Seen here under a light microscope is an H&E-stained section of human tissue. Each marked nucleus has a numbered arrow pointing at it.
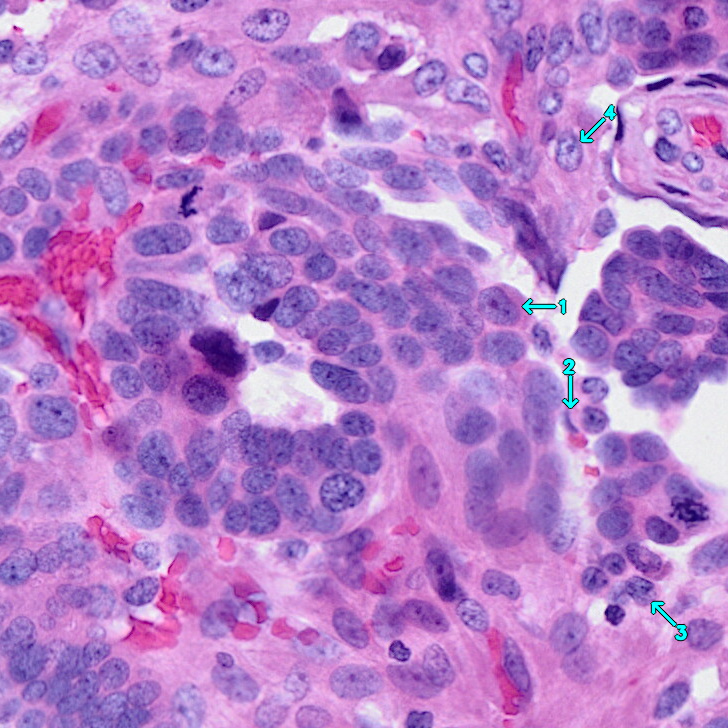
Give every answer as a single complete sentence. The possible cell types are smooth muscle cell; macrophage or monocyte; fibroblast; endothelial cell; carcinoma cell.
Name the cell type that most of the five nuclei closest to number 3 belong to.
Around number 3, most of the five nearest nuclei are those of macrophages or monocytes.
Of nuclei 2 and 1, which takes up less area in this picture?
Nucleus 2 covers less area, with nucleus 1 about 4 times as large.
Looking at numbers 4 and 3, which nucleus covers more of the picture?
Nucleus 4 is the larger one, covering about 1.5 times the area of nucleus 3.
